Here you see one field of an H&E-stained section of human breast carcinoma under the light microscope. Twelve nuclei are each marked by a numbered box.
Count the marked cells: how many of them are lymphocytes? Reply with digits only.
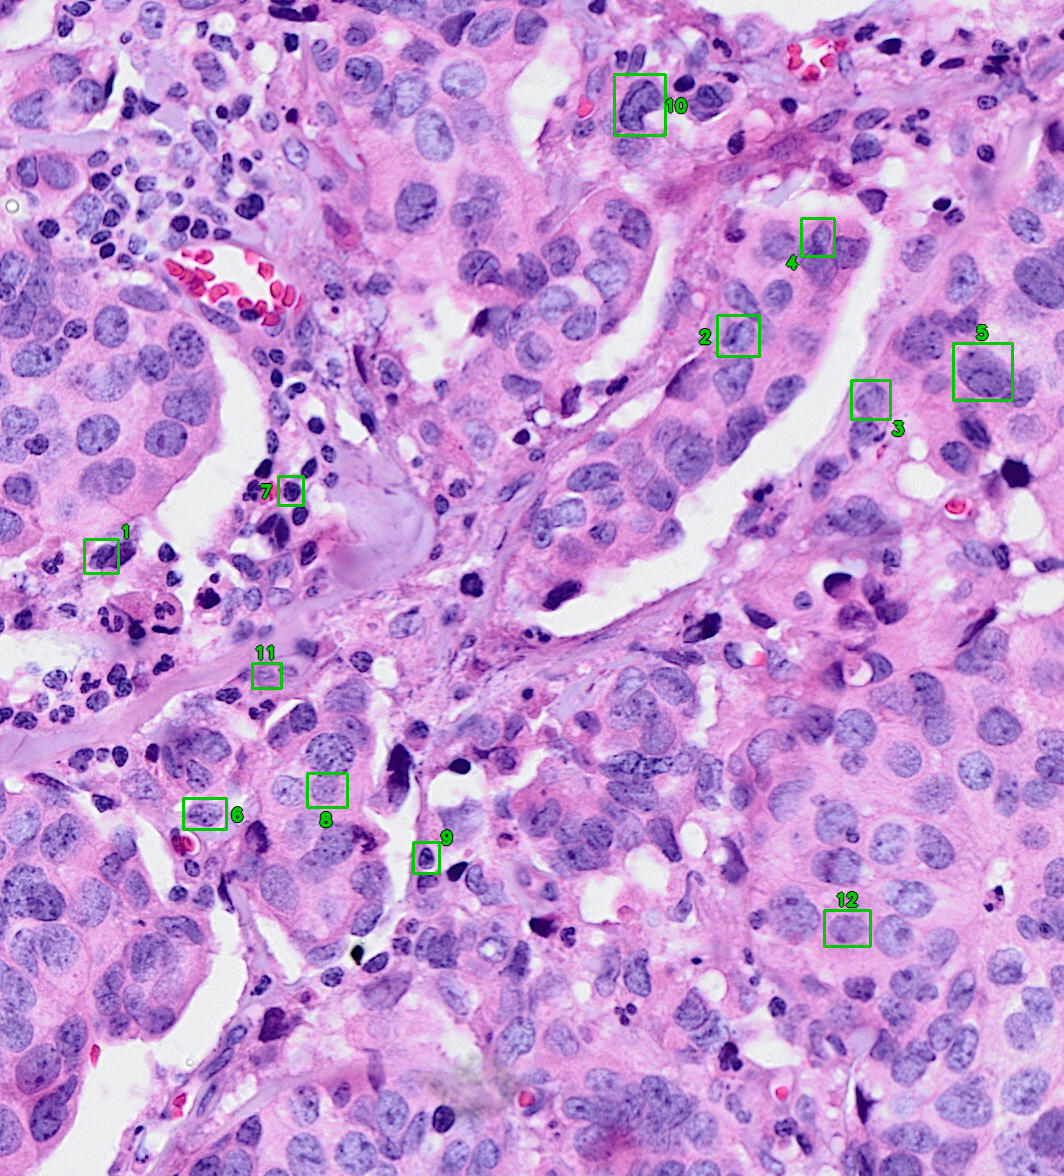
3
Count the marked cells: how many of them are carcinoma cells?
7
